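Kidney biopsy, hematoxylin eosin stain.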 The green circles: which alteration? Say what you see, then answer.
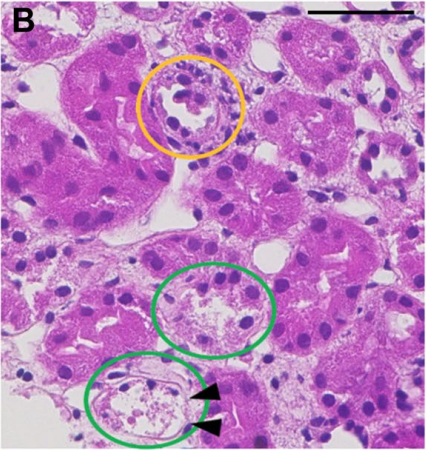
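The circled tubules contain pale granular debris instead of an intact epithelial lining. Few intact nuclei remain within the circled tubules. That points to this answer: coagulative necrosis of tubular epithelial cells.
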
